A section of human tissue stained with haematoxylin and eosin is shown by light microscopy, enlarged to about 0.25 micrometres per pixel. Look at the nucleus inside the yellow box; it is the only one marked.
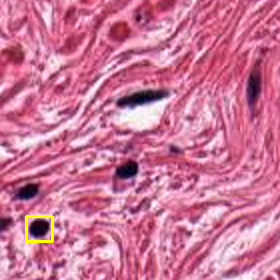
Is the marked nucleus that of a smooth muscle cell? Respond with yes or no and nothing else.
no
